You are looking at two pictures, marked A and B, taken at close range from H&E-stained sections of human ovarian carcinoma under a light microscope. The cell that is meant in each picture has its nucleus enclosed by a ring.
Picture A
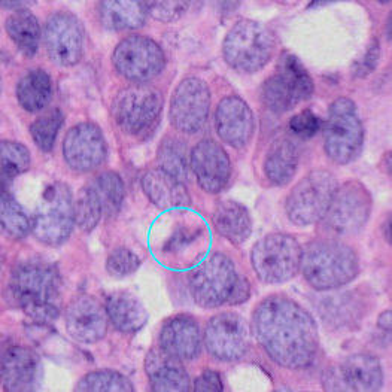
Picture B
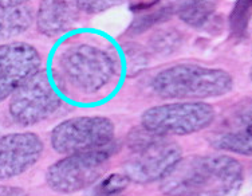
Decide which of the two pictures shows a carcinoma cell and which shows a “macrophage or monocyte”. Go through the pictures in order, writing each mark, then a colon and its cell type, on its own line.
A: macrophage or monocyte
B: carcinoma cell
